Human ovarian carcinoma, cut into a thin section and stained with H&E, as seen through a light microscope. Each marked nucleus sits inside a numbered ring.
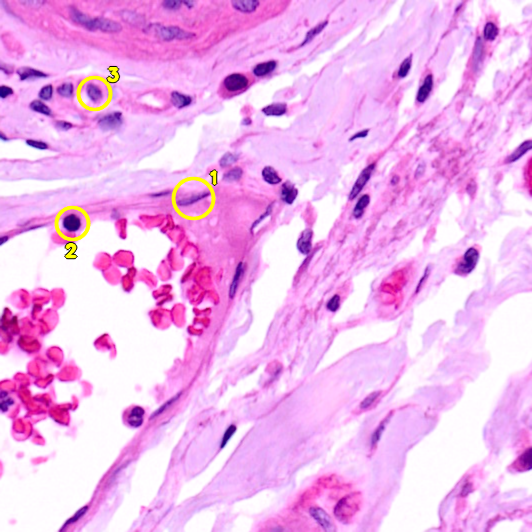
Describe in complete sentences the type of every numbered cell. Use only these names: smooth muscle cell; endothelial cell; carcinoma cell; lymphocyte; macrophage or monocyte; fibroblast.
Cells 1 and 3 are endothelial cells. Cell 2 is a lymphocyte.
